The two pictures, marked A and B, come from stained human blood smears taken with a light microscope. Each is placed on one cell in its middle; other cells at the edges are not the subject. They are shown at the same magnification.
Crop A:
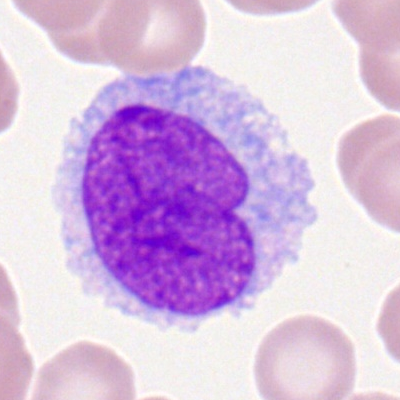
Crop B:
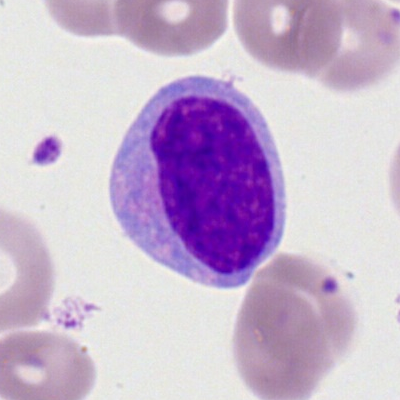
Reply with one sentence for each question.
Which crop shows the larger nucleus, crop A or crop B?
It is the nucleus in crop A, about 2 times as large in area as the one in crop B.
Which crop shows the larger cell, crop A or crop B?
It is the cell in crop A, about 2 times as large in area as the cell in crop B.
